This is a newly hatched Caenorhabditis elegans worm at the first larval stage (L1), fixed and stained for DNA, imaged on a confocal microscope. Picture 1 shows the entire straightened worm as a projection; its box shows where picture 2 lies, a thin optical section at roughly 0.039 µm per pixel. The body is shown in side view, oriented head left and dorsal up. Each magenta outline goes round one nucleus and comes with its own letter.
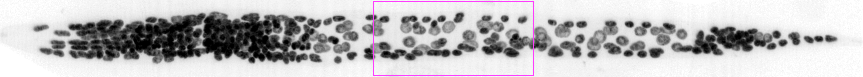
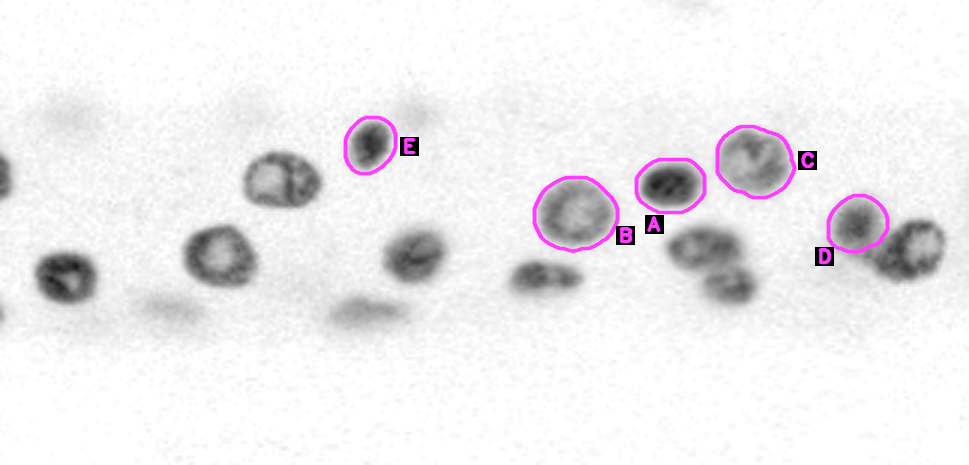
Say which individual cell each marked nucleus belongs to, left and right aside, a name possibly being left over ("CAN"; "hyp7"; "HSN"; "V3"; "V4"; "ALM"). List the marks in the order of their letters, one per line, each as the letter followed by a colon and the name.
A: CAN
B: V3
C: hyp7
D: HSN
E: ALM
